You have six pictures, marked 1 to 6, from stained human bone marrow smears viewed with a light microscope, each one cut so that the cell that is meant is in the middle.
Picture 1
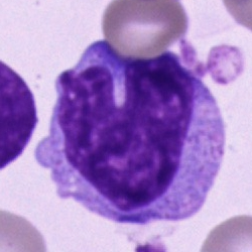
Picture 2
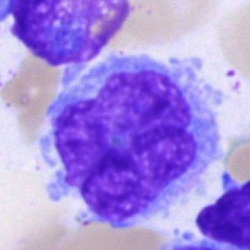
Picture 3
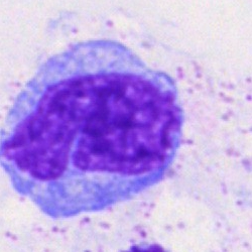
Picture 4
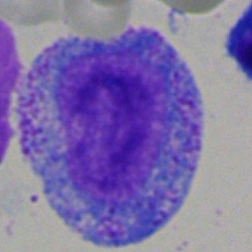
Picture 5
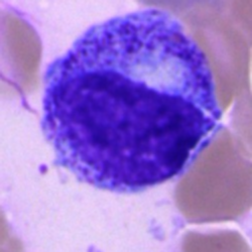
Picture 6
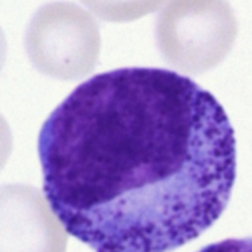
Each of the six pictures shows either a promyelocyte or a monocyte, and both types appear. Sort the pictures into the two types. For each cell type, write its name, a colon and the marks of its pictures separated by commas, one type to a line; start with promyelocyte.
promyelocyte: 4, 5, 6
monocyte: 1, 2, 3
